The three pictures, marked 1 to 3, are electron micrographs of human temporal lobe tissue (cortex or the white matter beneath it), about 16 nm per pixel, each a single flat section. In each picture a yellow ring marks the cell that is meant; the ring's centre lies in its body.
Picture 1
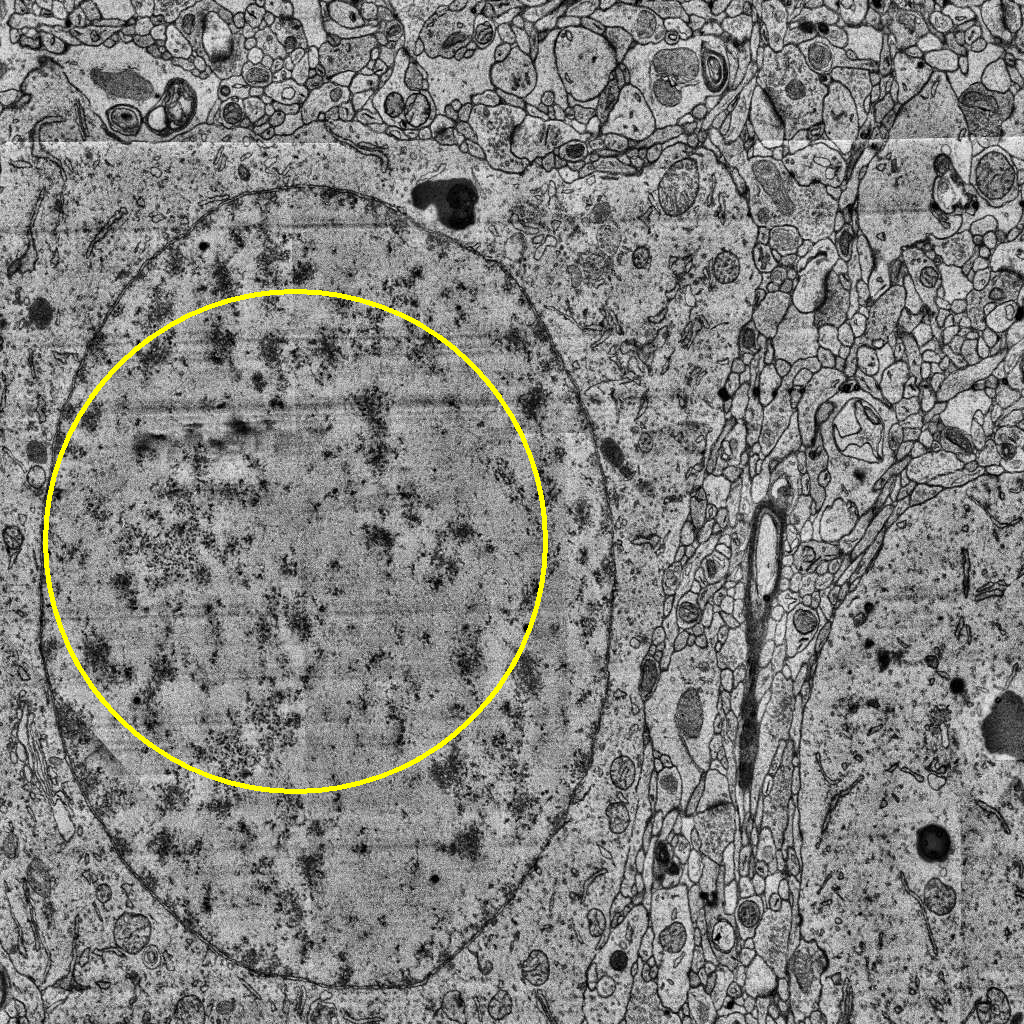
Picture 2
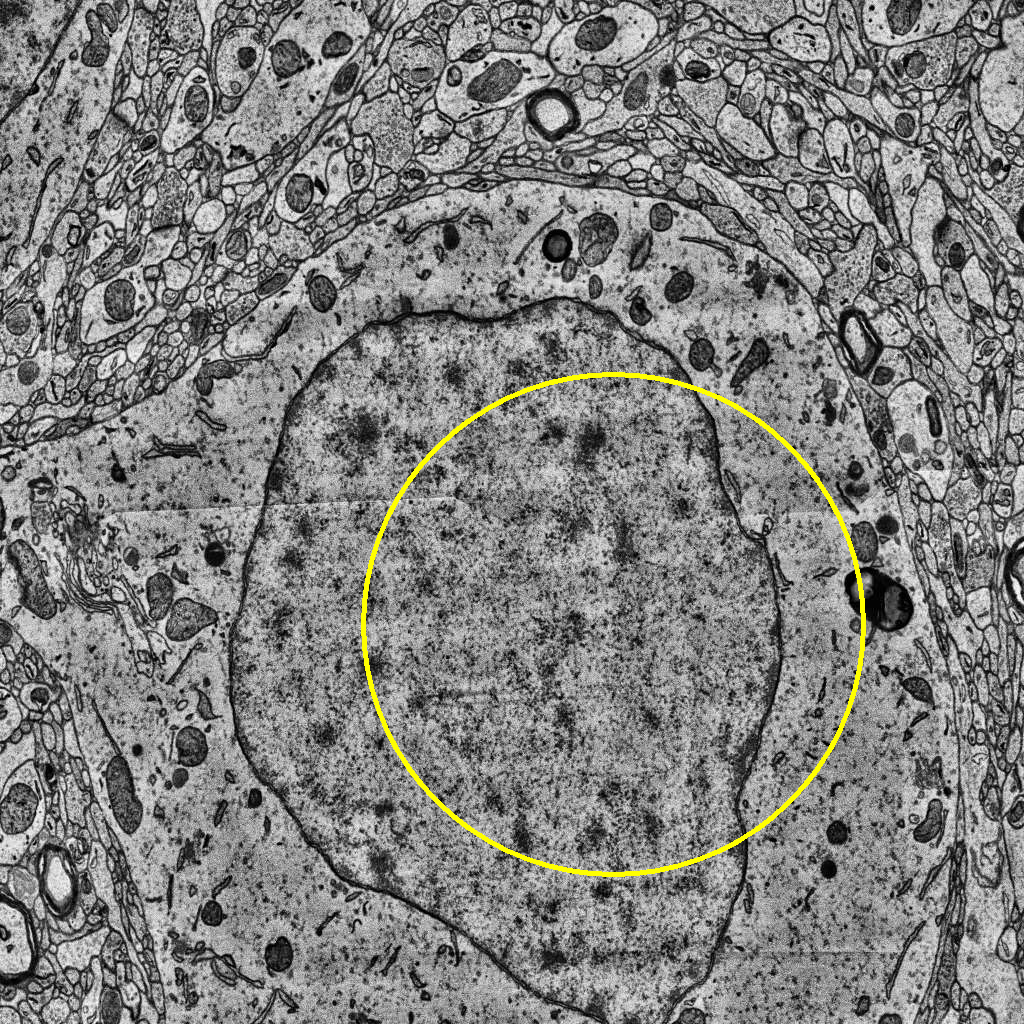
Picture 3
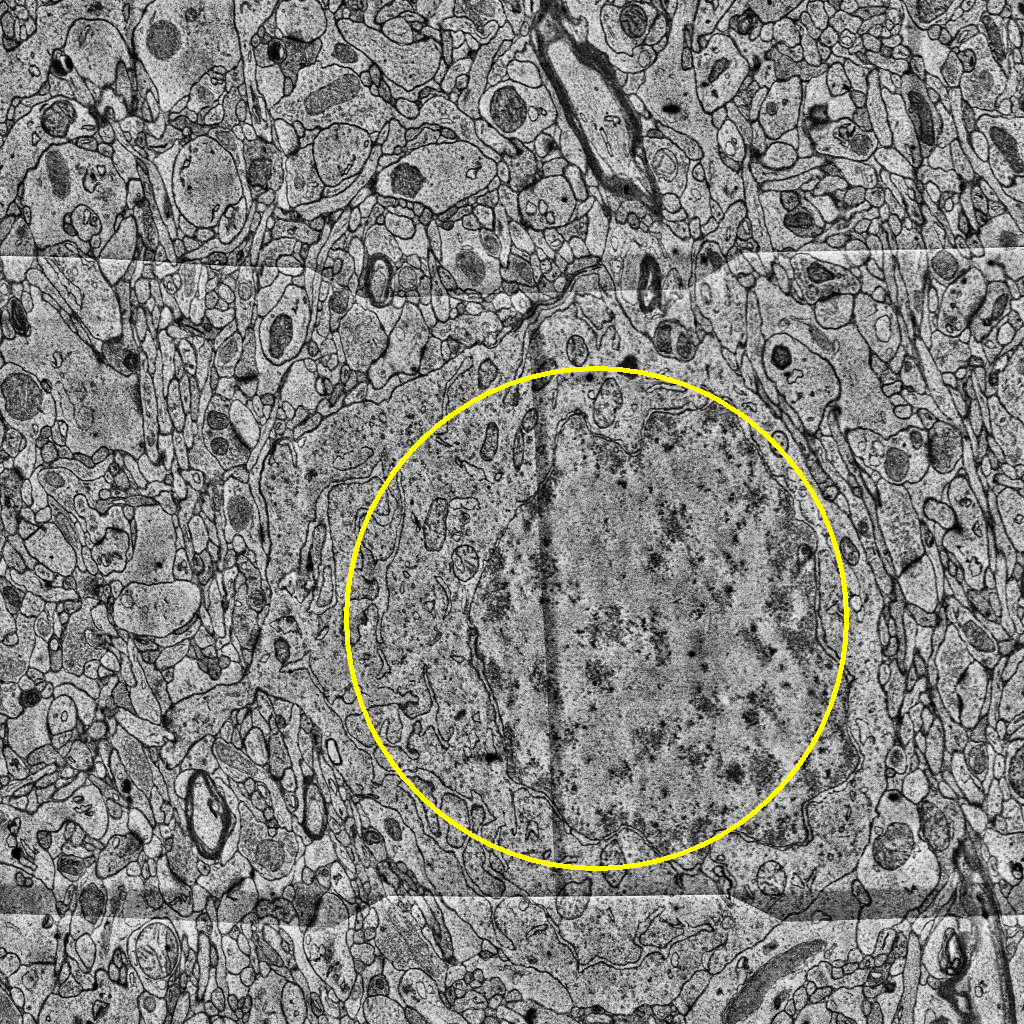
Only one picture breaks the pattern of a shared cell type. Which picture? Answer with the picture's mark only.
3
